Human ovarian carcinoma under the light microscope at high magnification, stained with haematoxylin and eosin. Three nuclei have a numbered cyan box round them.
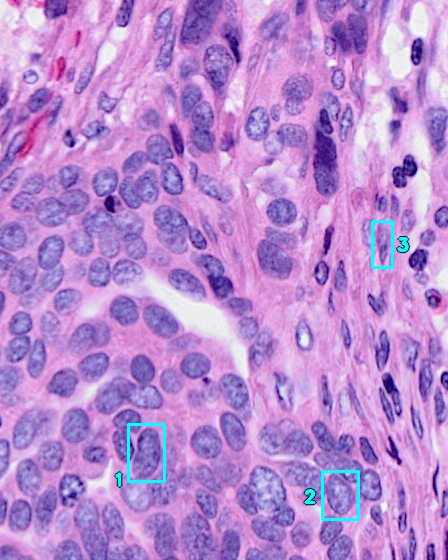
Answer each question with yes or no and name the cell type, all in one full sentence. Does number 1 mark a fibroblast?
No, number 1 is assigned to a carcinoma cell, not to a fibroblast.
